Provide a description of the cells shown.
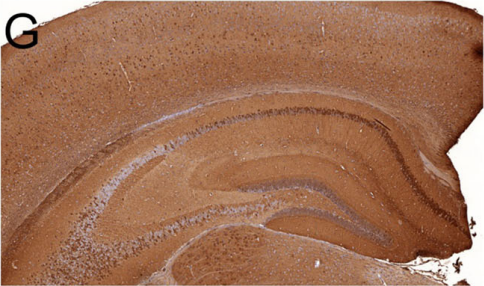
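This is a low-magnification view of the hippocampus beneath the overlying cortex, with the whole tissue carrying a brown stain. A curved band of darkly brown-stained cell bodies runs along the pyramidal cell layer, standing out against the paler brown neuropil. Inside the curve lies a second, V-shaped band of densely packed cells that appears bluish rather than dark brown. The overlying cortex shows many small dark cell bodies scattered through an evenly brown neuropil. The dark band marks the pyramidal cells of the cornu ammonis, which carry the strongest staining.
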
